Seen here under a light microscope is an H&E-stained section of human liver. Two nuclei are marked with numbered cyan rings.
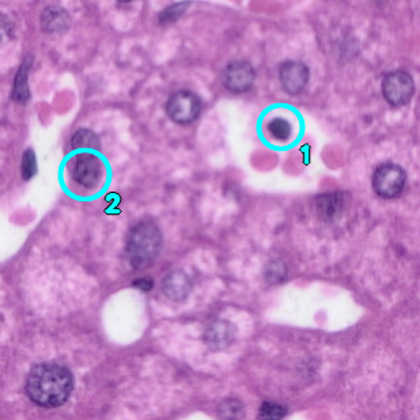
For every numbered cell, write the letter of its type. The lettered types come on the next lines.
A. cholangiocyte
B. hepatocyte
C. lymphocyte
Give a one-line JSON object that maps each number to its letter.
{"1": "C", "2": "B"}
